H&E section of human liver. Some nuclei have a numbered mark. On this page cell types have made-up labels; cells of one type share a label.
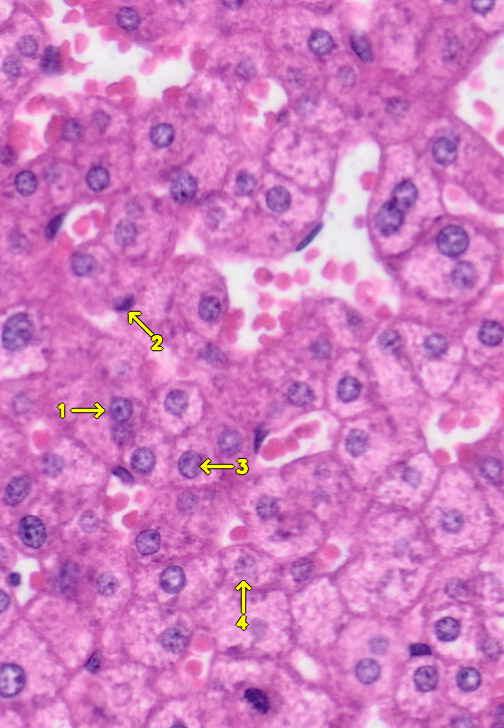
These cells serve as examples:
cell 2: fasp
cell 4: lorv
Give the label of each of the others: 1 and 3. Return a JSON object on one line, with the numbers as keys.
{"1": "lorv", "3": "lorv"}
